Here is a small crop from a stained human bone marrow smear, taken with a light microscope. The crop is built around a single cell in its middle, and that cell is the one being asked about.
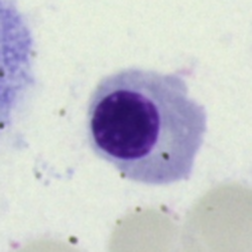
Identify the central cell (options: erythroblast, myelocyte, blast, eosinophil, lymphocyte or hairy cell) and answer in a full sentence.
The centered cell in this crop is an erythroblast.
